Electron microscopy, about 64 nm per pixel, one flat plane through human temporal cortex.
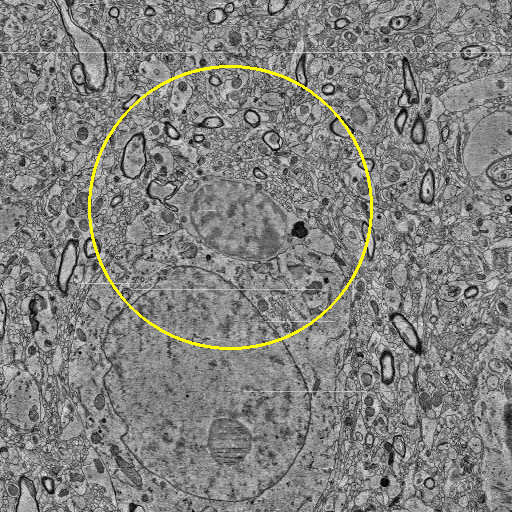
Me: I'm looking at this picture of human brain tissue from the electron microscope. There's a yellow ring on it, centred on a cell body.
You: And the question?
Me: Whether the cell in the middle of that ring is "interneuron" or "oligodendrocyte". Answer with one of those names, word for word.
oligodendrocyte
